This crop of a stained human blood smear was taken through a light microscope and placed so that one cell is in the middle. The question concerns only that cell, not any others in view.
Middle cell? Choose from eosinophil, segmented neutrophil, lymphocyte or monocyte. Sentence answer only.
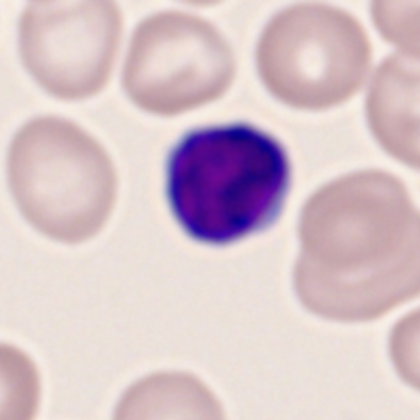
At the center of the crop sits a lymphocyte.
